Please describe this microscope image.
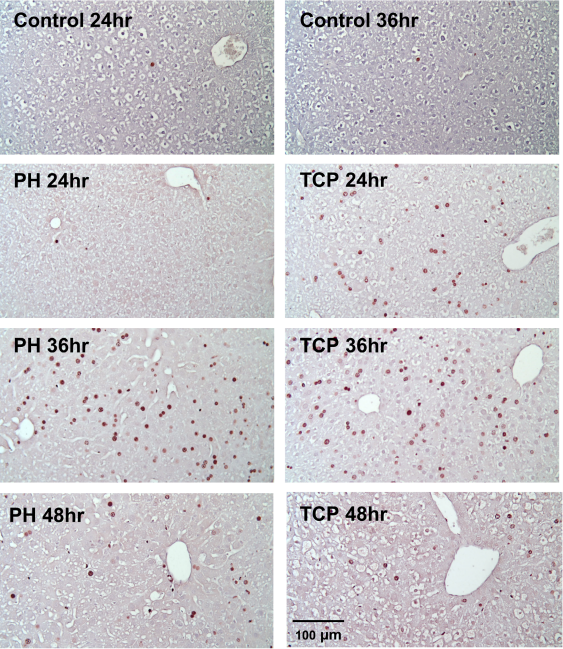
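Eight fields of liver sections show hepatocytes: large polygonal cells with pale pink cytoplasm and round, centrally placed nuclei, arranged in cords around empty vessel lumina. In some fields many hepatocyte nuclei are stained a dark reddish-brown, while in the upper two fields almost none are; the number of stained nuclei differs widely between the fields.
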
